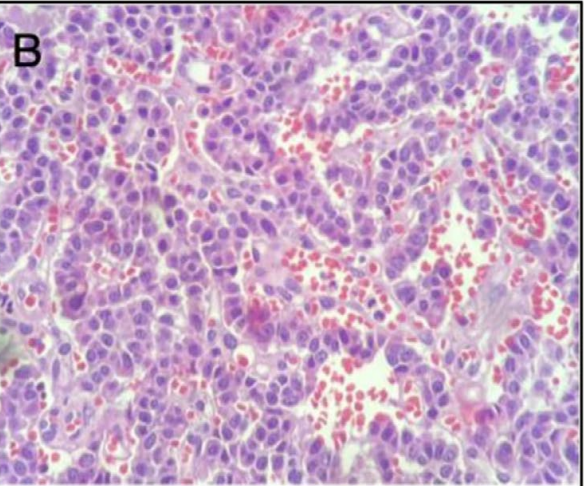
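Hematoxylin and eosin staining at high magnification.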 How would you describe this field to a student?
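Closely packed, monotonous tumor cells are arranged in cords and nests lining thin-walled blood-filled channels, with red blood cells pooled between the cell groups. The cells have moderate amounts of pink cytoplasm and round to oval nuclei of similar size.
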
